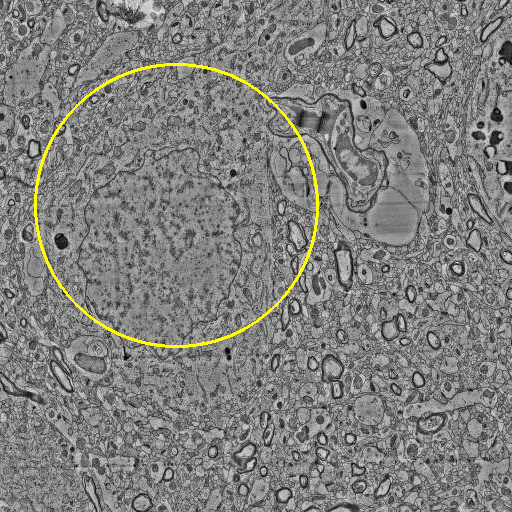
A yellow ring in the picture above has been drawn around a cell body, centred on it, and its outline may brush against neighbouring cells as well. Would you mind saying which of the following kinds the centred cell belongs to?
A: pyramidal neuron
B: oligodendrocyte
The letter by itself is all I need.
A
